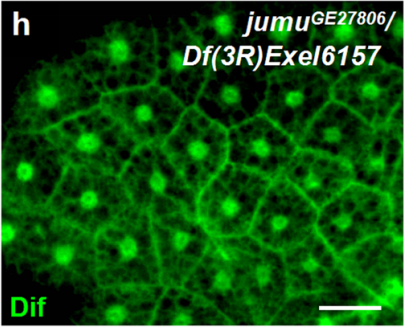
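This is a sheet of fat body, made of large polygonal cells packed side by side like paving stones. The cell borders glow as a fine green network, and each cell has one round nucleus near its middle that is brightly green. The nuclei are evenly spaced, giving the tissue a regular, honeycomb-like look.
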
